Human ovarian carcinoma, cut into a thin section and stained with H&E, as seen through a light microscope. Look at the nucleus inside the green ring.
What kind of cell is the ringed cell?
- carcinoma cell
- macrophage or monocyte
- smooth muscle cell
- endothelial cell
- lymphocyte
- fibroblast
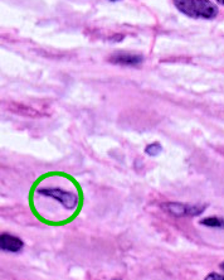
macrophage or monocyte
